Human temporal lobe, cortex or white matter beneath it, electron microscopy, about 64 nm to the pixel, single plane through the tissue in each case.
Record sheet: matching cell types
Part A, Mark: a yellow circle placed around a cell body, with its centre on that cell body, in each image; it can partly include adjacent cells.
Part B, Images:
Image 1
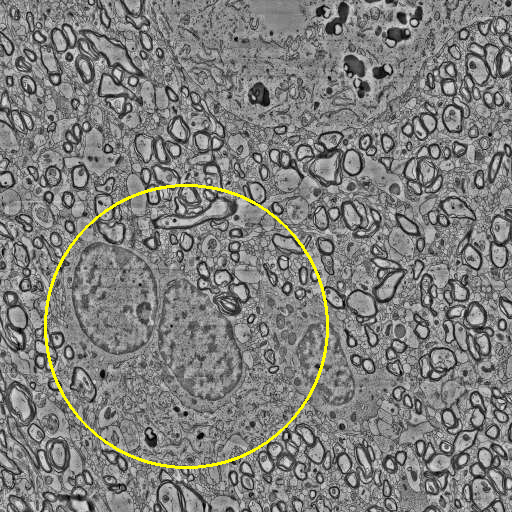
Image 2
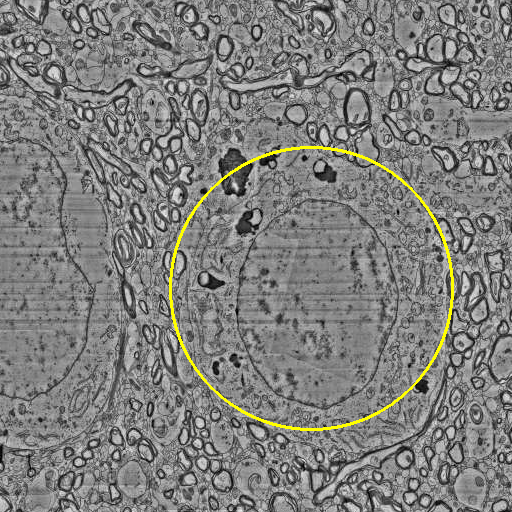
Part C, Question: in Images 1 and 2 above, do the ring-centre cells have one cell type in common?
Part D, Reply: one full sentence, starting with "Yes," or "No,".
No, the ring-centre cells of Image 1 and Image 2 are each of a separate cell type.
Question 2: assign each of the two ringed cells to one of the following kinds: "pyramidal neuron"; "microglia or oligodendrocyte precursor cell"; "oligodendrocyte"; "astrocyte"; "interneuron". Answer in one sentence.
The two cells are an oligodendrocyte in the first picture and a pyramidal neuron in the second.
